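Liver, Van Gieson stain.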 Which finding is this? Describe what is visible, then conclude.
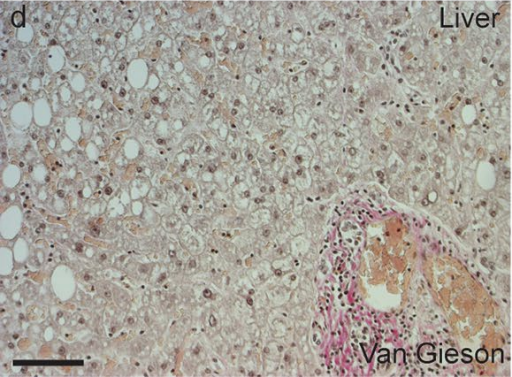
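Many liver cells contain clear, round, empty-looking vacuoles. The vacuoles vary in size and are most numerous on the left side.
Hence: steatosis.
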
